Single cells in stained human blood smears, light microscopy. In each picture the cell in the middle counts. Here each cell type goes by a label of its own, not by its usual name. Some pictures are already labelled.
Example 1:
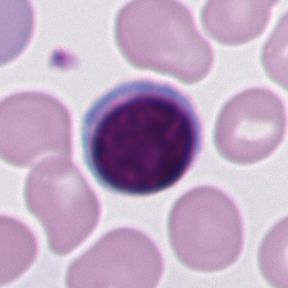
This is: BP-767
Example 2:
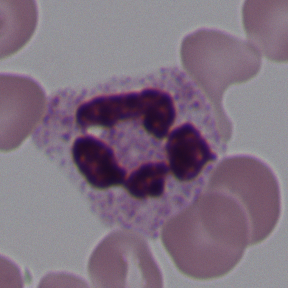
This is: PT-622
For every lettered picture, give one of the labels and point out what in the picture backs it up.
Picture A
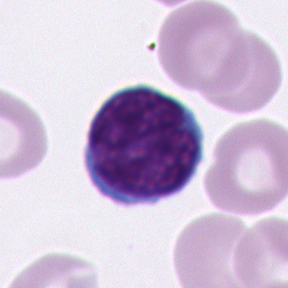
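Label: BP-767. The cytoplasm forms only a thin rim, widest at the lower left.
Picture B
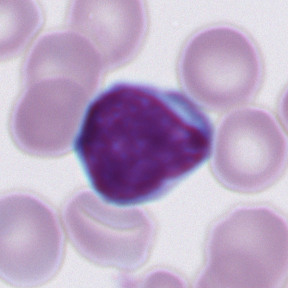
Label: BP-767. The nucleus is a single unlobed mass.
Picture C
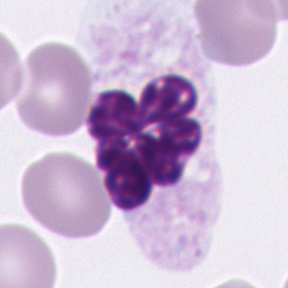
Label: PT-622. The cytoplasm is abundant and very pale, almost colourless.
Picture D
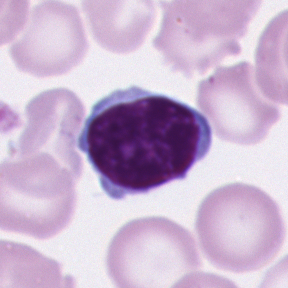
Label: BP-767. The cytoplasm forms a narrow pale blue rim around the nucleus.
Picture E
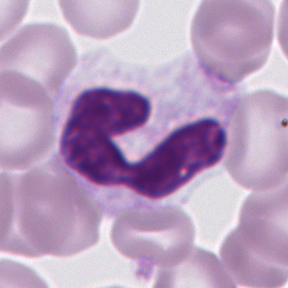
Label: PT-622. The nucleus is one continuous band, not split into separate lobes.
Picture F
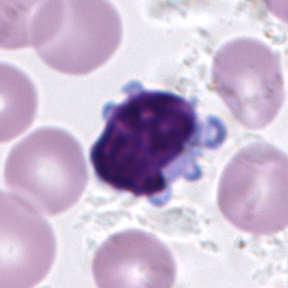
Label: BP-767. The cytoplasm is a scant rim, widest on the right side of the cell.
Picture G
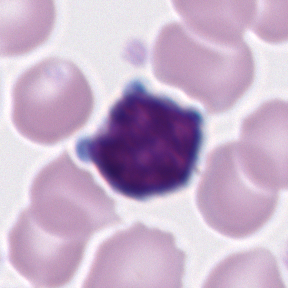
Label: BP-767. Only a very thin rim of cytoplasm shows around the nucleus.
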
